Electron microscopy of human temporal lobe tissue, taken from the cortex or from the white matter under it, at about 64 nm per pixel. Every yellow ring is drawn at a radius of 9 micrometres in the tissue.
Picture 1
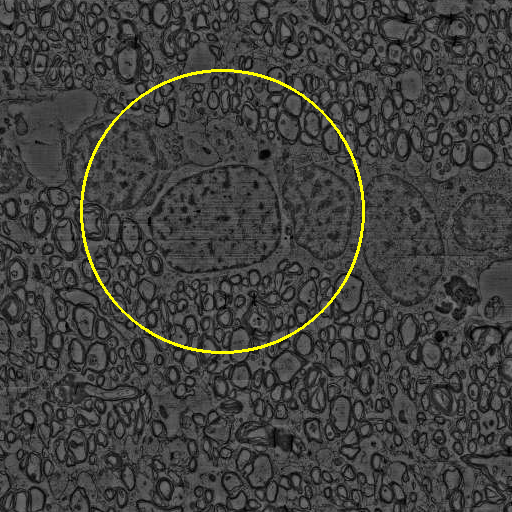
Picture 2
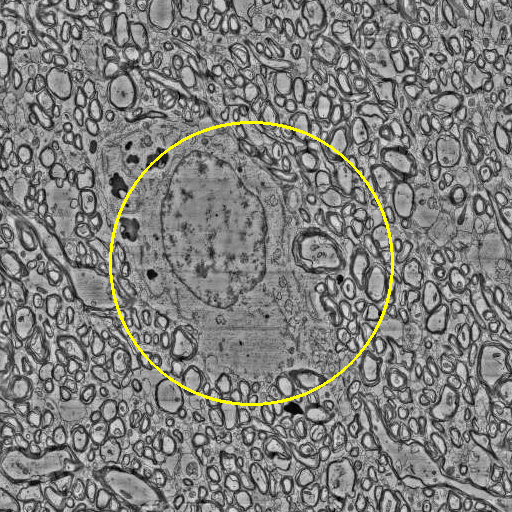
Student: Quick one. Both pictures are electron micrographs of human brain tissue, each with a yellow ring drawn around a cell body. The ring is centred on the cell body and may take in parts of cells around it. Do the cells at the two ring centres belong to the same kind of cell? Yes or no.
no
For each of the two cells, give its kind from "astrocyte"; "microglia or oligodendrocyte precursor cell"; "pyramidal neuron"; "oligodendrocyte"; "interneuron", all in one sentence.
The first picture has a microglial cell or oligodendrocyte precursor cell in its ring, the second has an oligodendrocyte.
